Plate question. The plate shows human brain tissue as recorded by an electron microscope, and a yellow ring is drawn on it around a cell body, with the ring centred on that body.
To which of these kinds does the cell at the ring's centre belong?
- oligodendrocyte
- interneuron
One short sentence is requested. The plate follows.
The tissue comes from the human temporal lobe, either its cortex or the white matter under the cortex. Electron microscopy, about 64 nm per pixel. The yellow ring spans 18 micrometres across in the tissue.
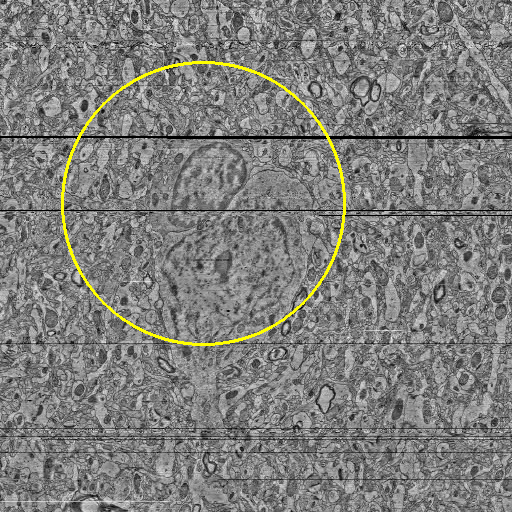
The cell at the ring's centre is an oligodendrocyte.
